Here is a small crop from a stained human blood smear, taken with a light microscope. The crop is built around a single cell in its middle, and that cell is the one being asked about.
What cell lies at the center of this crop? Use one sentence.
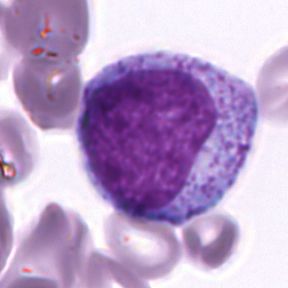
At the middle of the frame sits a promyelocyte.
